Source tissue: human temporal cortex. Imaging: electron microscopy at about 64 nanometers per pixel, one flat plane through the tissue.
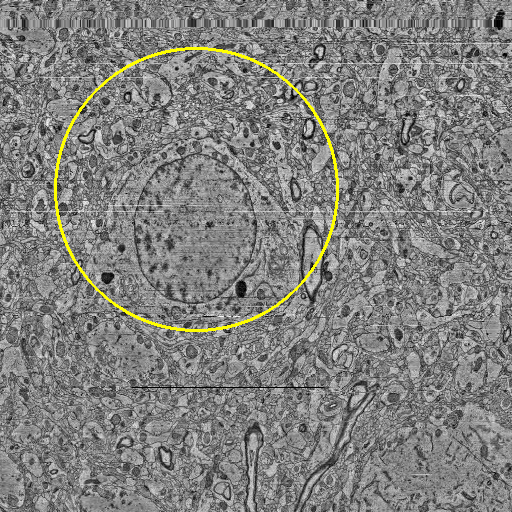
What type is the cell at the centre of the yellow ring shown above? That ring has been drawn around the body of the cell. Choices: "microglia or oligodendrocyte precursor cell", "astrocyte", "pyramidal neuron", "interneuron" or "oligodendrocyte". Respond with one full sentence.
My answer is that a pyramidal neuron lies at the centre of the yellow ring above.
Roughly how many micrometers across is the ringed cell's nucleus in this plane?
The nucleus measures about 10 by 8 micrometres in this plane.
